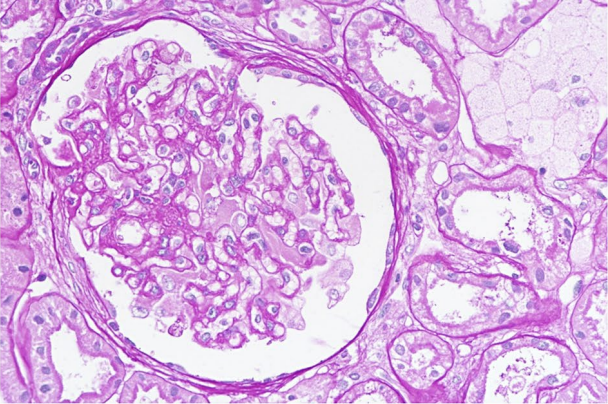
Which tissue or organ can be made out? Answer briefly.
Glomeruli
